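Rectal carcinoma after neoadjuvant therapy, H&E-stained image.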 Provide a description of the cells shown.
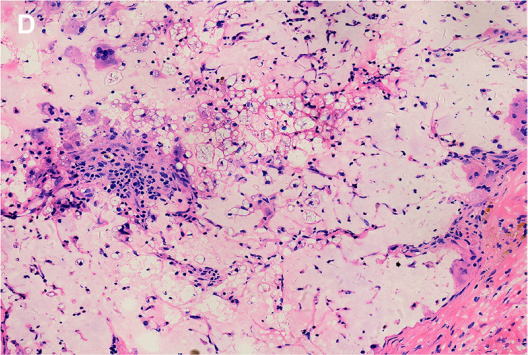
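Pools of pale, lightly staining extracellular material occupy most of the field. Within them float scattered cells, some with foamy, vacuolated cytoplasm, and a small cluster of cells with dark nuclei. A few larger cells with abundant pink cytoplasm lie near the upper part. Thin pale strands traverse the pool. Pink fibrous stroma borders the field at the lower right.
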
